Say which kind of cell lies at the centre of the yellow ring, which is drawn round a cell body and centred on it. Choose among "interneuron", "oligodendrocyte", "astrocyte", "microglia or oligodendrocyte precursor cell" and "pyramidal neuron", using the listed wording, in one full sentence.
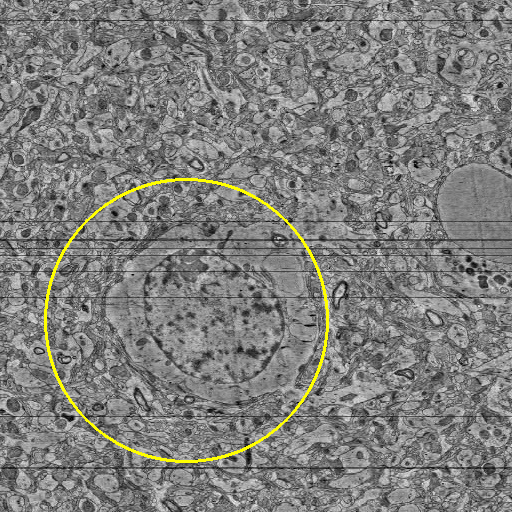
Going by the list, the cell at the yellow ring's centre is an astrocyte.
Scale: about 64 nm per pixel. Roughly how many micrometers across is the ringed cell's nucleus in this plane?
In this plane, about 10 micrometres in length and 8 in width.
